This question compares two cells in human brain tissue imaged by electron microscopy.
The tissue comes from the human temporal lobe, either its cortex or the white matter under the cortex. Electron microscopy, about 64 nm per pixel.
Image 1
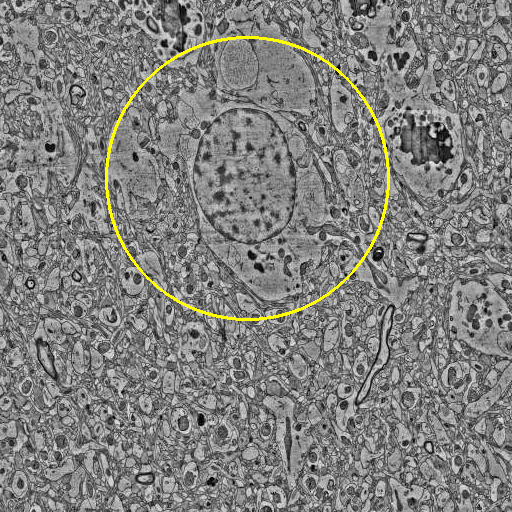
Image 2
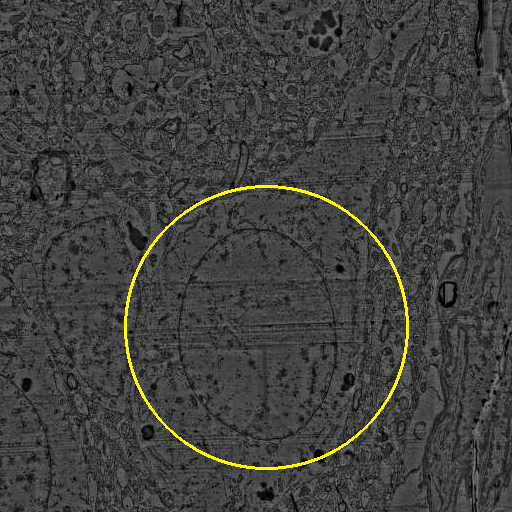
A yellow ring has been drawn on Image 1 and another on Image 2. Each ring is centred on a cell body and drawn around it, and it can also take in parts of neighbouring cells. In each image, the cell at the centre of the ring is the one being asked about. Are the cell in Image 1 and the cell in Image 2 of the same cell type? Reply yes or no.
no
